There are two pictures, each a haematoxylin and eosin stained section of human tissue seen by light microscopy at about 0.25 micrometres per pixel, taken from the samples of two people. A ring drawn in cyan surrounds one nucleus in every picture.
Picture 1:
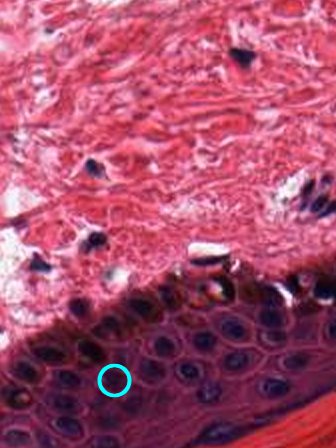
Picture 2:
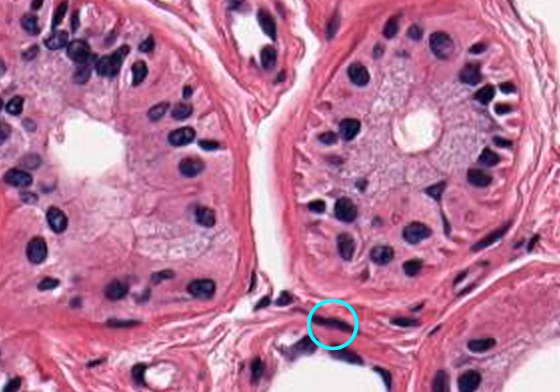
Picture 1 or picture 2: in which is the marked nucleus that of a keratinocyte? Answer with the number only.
1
